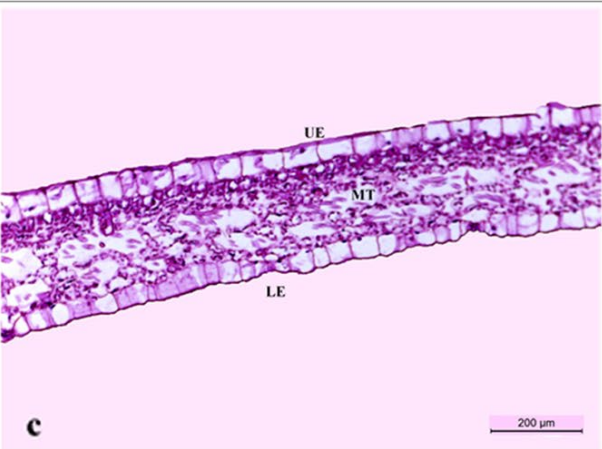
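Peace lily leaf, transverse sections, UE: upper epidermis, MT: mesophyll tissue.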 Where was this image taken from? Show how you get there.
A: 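A thin, flat strip of leaf tissue of even thickness. Epidermis on both faces with loosely packed green-tissue cells between. The answer: laminar area.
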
